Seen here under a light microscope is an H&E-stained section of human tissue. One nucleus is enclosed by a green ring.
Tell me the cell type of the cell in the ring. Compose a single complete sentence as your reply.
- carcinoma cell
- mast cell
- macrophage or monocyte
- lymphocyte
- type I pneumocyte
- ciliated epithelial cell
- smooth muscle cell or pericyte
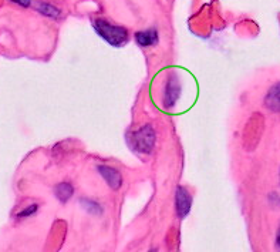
What the cell in the ring represents is a type I pneumocyte.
